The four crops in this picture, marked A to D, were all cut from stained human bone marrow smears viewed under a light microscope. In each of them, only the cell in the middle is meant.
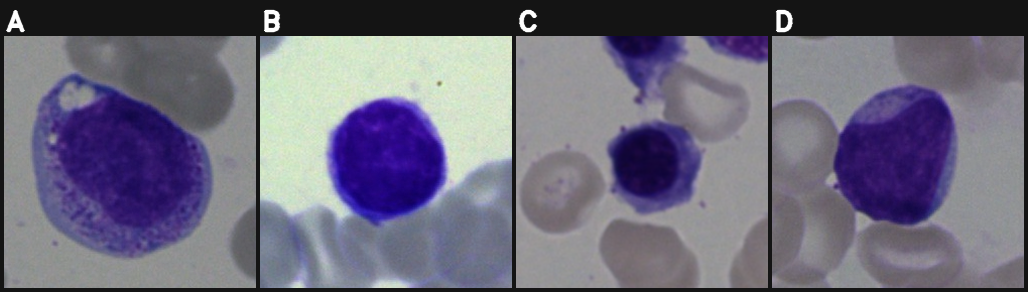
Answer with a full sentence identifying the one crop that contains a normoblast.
In this series, a normoblast is shown by crop C.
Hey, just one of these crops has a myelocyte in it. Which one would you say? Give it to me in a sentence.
Crop A is the correct crop, and it shows a myelocyte.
